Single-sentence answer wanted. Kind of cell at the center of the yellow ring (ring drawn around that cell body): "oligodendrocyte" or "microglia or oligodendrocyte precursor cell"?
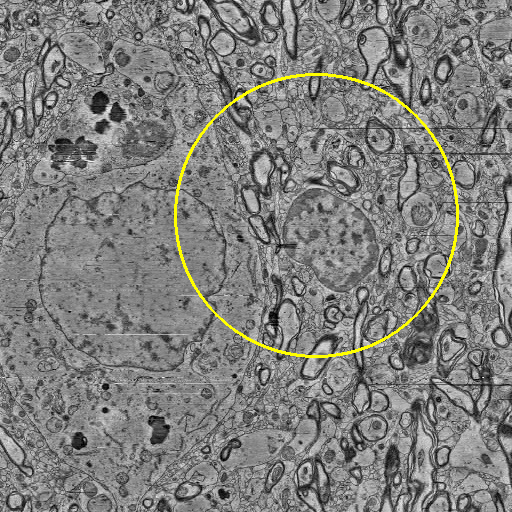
The cell centered in the ring is a microglial cell or oligodendrocyte precursor cell.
